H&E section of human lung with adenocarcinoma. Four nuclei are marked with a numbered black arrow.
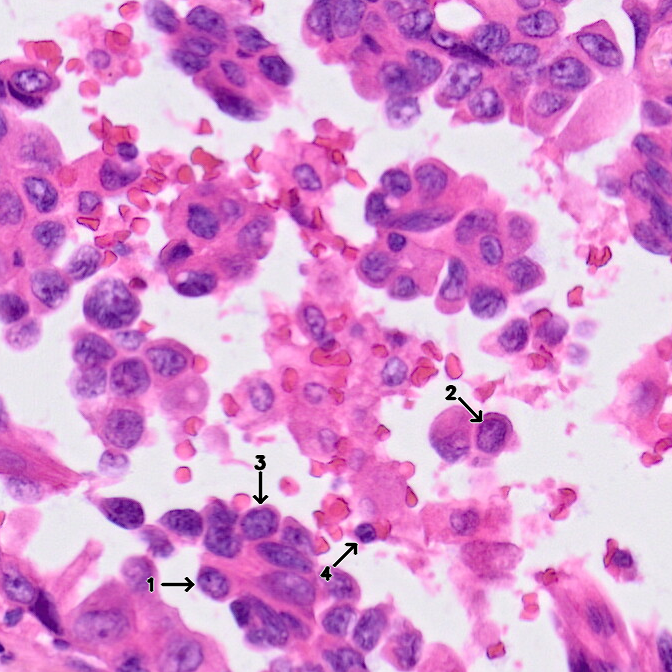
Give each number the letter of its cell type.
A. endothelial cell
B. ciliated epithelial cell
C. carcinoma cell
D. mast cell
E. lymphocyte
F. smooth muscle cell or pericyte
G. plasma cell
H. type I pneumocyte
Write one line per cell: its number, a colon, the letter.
1: C
2: C
3: C
4: E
